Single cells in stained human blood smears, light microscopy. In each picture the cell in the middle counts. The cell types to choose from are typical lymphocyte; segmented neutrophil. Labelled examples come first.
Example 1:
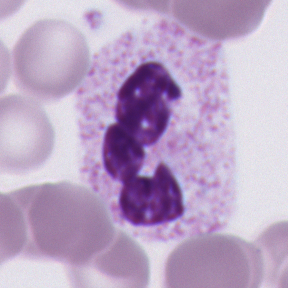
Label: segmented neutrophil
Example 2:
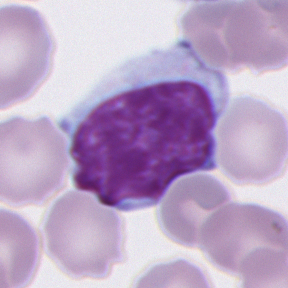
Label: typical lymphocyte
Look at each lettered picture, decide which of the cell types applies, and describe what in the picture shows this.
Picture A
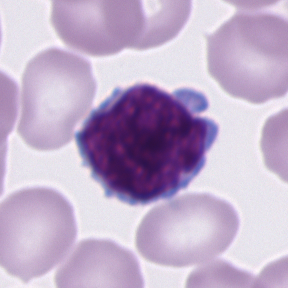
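typical lymphocyte. Evidence: The cytoplasm forms only a thin rim around the nucleus.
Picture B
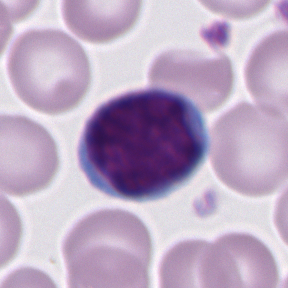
typical lymphocyte. Evidence: The cytoplasm forms only a thin rim around the nucleus.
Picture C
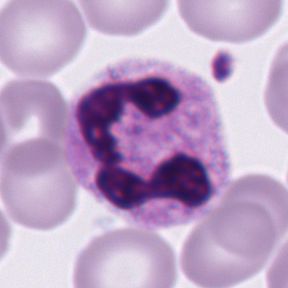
segmented neutrophil. Evidence: The nucleus is one continuous curved band shaped like a C that opens toward the right.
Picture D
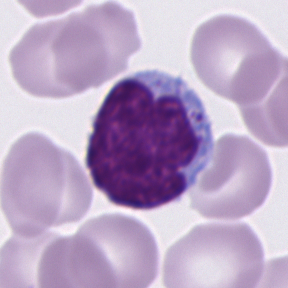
typical lymphocyte. Evidence: The cytoplasm forms a narrow crescent lying mainly on the right side of the nucleus.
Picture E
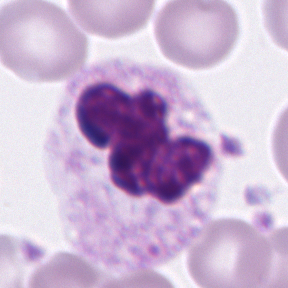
segmented neutrophil. Evidence: The cytoplasm is abundant and pale pinkish-lilac.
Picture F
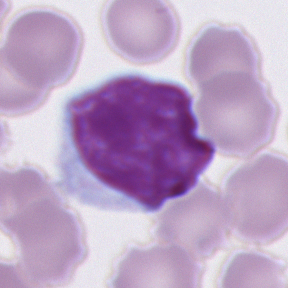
typical lymphocyte. Evidence: The cytoplasm forms a narrow crescent that is widest at the lower left of the cell.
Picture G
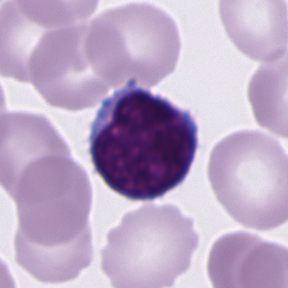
typical lymphocyte. Evidence: The thin rim of cytoplasm is widest at the upper left.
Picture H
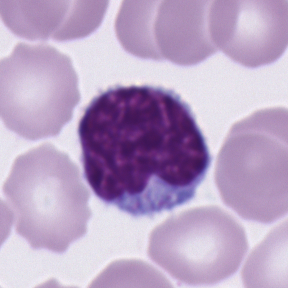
typical lymphocyte. Evidence: The scant cytoplasm is pale blue.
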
